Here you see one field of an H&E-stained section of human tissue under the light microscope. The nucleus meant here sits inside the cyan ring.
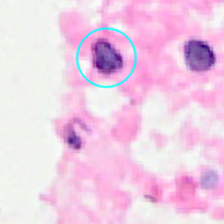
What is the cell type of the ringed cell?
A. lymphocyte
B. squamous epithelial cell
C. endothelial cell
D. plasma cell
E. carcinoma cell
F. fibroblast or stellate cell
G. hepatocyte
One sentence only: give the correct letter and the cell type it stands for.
Option A is right, and the ringed cell is a lymphocyte.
